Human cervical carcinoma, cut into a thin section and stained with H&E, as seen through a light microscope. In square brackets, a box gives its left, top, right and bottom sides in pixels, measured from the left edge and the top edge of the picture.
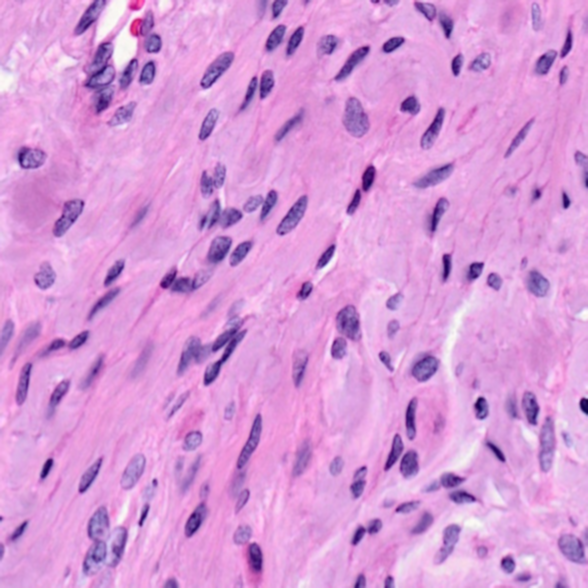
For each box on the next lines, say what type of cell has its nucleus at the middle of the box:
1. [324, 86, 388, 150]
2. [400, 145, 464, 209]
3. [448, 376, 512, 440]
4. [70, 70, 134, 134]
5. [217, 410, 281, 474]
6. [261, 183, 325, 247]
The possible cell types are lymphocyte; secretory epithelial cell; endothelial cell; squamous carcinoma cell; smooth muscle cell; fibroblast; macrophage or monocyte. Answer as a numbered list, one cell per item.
1. fibroblast
2. fibroblast
3. lymphocyte
4. endothelial cell
5. fibroblast
6. fibroblast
